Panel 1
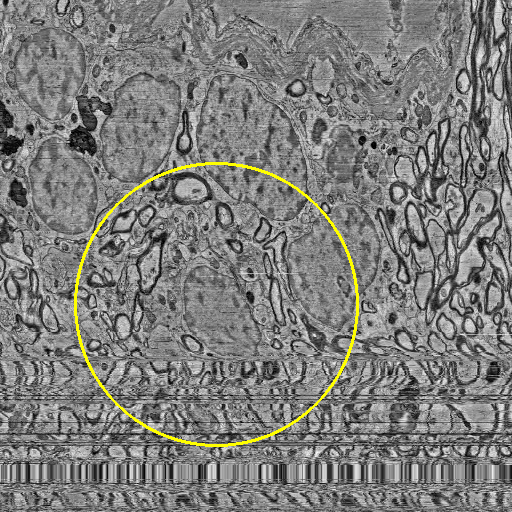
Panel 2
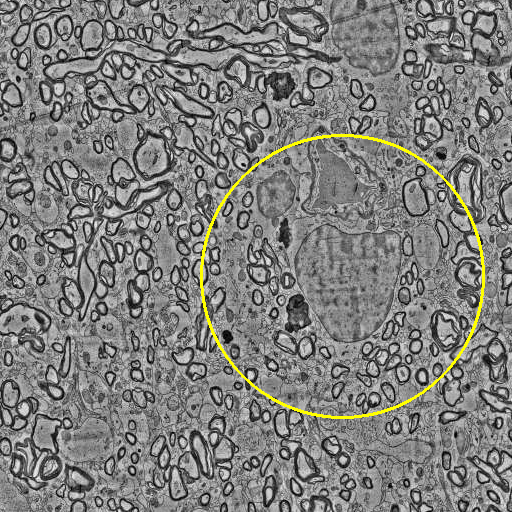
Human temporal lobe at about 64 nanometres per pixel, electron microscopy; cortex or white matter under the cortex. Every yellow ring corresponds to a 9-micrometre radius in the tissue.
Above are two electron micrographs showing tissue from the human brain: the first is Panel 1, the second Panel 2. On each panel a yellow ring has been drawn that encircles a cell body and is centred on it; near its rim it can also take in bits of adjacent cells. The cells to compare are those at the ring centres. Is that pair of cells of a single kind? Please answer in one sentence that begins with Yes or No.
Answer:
No, the ring-centred cells of Panel 1 and Panel 2 belong to two kinds.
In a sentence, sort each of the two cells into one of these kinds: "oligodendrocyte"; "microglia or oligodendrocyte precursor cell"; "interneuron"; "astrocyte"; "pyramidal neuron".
The first of the two cells is an oligodendrocyte, and the second is a microglial cell or oligodendrocyte precursor cell.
